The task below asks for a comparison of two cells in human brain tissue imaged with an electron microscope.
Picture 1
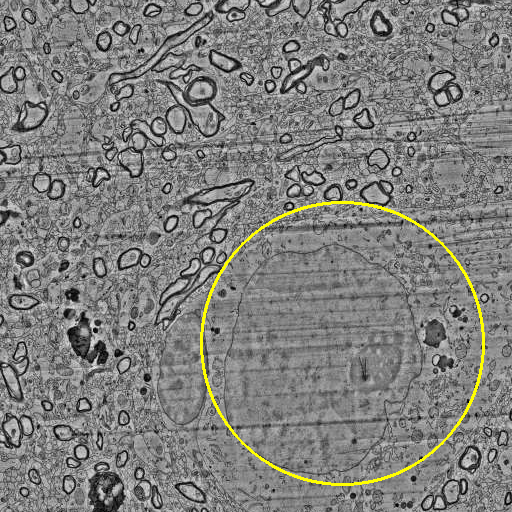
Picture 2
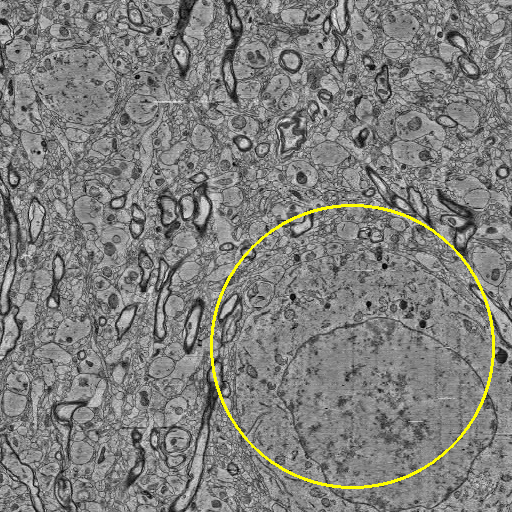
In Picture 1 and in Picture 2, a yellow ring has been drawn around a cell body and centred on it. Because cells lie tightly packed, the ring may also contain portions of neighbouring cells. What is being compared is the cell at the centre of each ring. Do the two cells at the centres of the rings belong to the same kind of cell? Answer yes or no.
yes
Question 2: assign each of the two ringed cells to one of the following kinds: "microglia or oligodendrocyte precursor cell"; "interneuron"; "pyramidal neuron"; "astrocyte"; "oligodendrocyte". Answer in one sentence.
In each of the two pictures, the ringed cell is a pyramidal neuron.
